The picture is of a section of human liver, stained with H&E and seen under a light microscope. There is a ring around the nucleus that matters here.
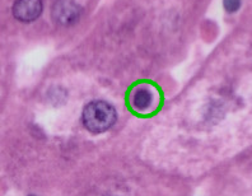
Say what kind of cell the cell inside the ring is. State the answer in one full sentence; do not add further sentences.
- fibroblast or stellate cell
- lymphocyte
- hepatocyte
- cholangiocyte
Students should answer that the cell inside the ring is a lymphocyte.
